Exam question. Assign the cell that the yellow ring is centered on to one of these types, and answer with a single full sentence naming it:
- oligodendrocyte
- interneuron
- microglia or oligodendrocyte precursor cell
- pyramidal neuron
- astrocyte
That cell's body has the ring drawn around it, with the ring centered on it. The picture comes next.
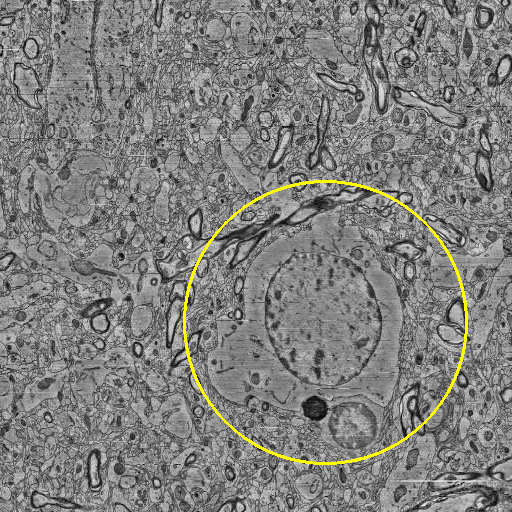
In the micrograph, the cell the yellow ring is centered on is an astrocyte.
